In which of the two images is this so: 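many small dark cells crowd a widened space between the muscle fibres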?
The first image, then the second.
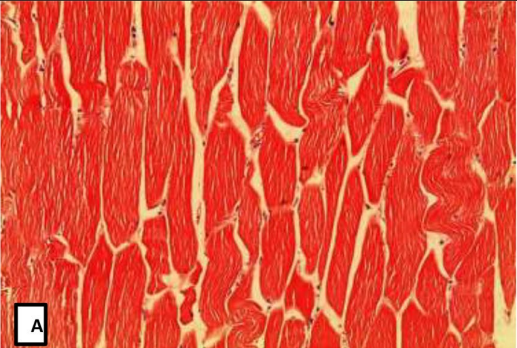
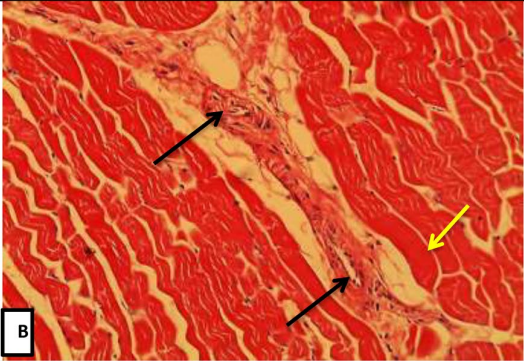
The second image.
